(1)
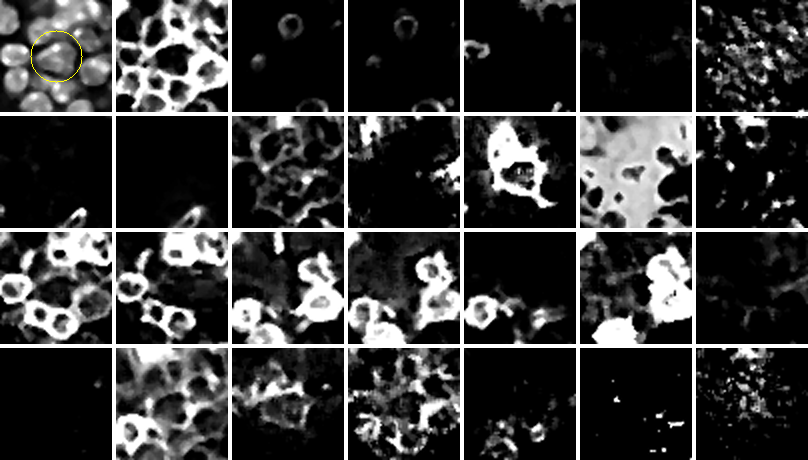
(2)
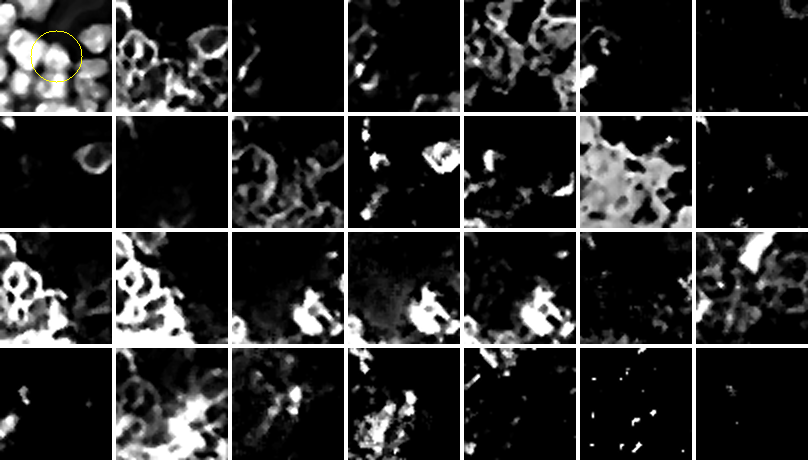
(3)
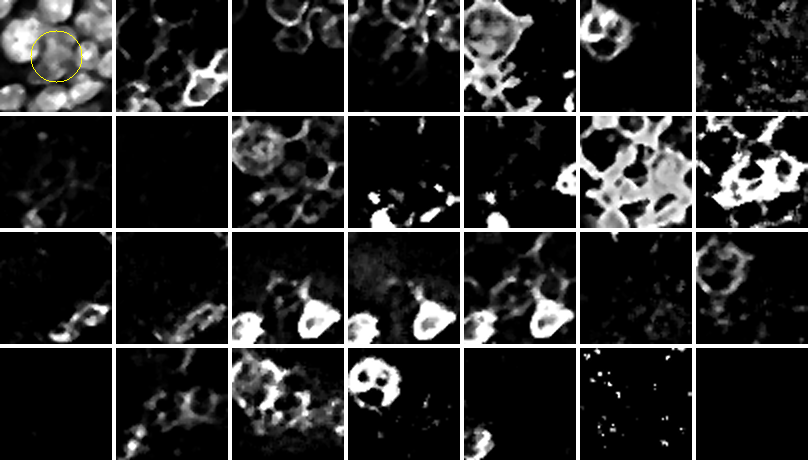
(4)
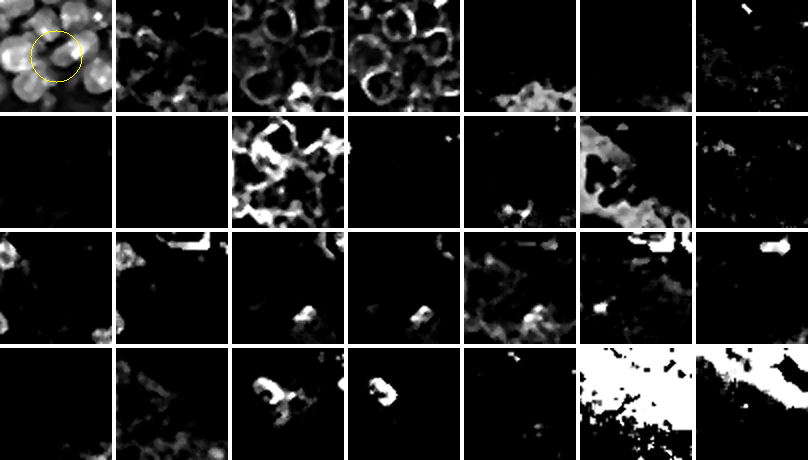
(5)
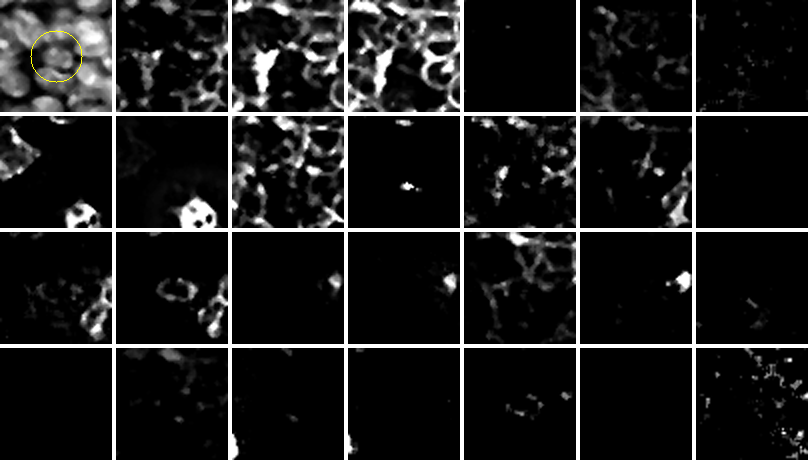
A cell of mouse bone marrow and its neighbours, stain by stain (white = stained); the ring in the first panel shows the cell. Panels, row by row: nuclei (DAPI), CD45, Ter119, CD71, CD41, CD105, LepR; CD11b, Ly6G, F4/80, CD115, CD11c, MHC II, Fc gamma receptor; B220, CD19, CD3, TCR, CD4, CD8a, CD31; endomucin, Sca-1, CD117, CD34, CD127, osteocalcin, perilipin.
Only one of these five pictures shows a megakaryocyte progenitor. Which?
Picture 2.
